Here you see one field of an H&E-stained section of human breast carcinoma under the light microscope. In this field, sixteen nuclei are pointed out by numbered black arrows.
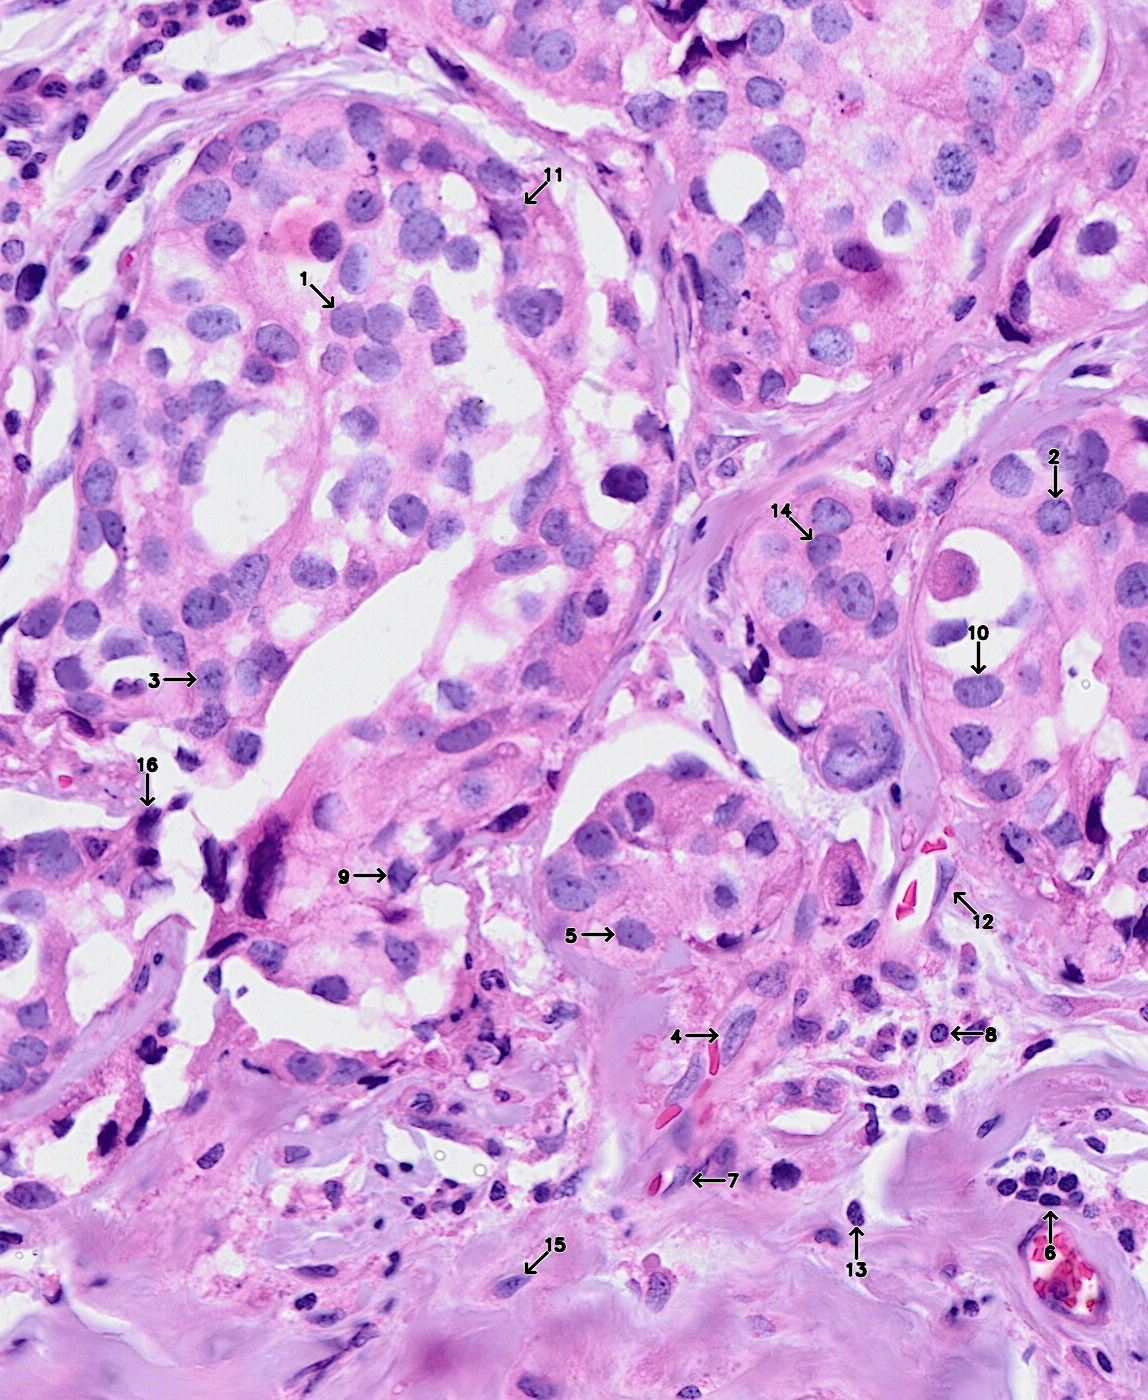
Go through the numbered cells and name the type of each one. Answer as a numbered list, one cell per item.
1. carcinoma cell
2. carcinoma cell
3. carcinoma cell
4. endothelial cell
5. carcinoma cell
6. lymphocyte
7. endothelial cell
8. mast cell
9. carcinoma cell
10. carcinoma cell
11. carcinoma cell
12. endothelial cell
13. lymphocyte
14. carcinoma cell
15. fibroblast
16. carcinoma cell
